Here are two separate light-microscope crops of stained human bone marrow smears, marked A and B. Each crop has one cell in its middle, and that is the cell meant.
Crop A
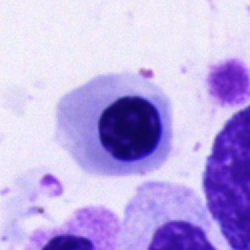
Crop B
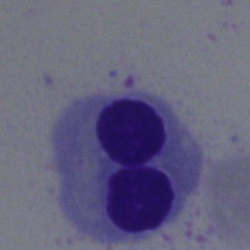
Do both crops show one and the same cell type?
yes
